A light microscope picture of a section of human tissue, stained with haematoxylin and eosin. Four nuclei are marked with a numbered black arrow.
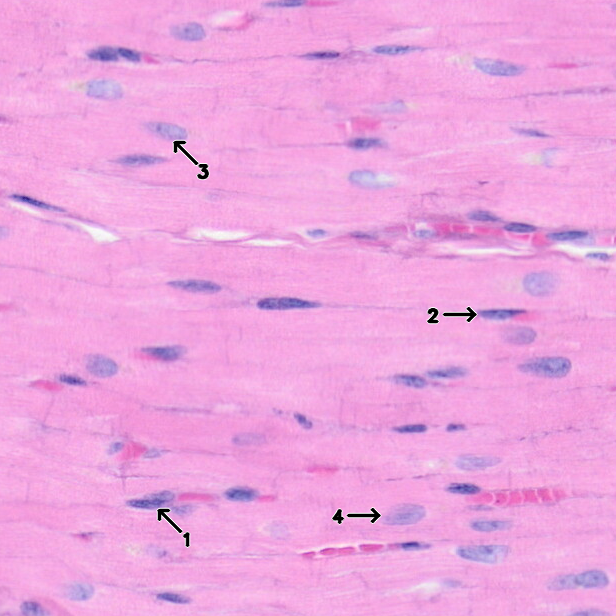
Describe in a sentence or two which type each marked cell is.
Cell 1 is an endothelial cell, cell 2 is an endothelial cell, cell 3 is a cardiomyocyte and cell 4 is a cardiomyocyte.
